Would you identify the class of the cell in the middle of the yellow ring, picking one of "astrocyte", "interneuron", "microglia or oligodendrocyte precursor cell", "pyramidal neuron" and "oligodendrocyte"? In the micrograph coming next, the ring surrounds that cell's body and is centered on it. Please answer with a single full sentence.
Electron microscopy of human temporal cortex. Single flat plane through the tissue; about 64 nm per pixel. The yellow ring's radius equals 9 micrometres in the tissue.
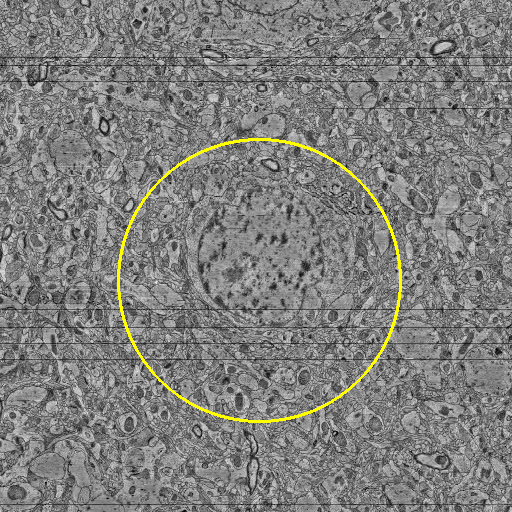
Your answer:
In the micrograph, it is an interneuron whose body lies at the ring's center.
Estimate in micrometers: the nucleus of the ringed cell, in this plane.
The ringed cell's nucleus is about 9 micrometres across in this plane.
